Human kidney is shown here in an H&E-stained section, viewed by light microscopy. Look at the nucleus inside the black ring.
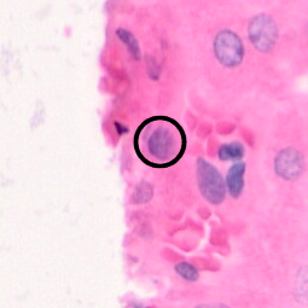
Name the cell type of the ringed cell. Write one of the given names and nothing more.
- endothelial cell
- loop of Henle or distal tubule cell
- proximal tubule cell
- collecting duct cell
proximal tubule cell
